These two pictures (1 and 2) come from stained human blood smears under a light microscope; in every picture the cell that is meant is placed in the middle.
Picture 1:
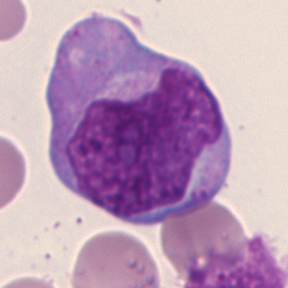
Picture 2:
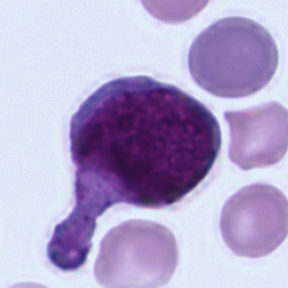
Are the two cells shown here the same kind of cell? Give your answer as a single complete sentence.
Yes, both cells are atypical promyelocytes.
